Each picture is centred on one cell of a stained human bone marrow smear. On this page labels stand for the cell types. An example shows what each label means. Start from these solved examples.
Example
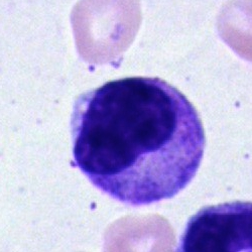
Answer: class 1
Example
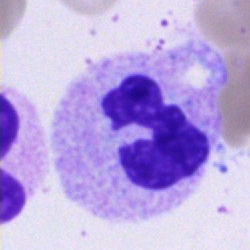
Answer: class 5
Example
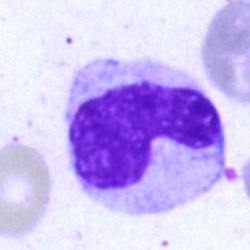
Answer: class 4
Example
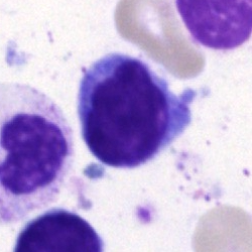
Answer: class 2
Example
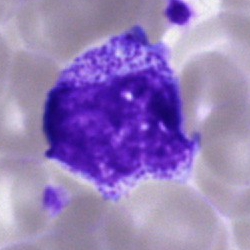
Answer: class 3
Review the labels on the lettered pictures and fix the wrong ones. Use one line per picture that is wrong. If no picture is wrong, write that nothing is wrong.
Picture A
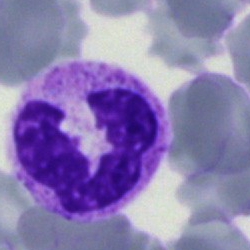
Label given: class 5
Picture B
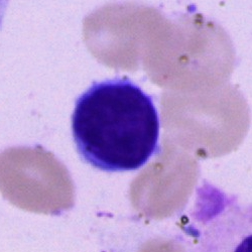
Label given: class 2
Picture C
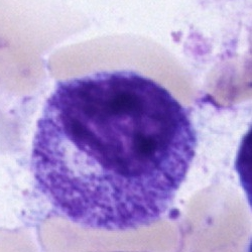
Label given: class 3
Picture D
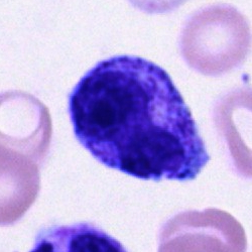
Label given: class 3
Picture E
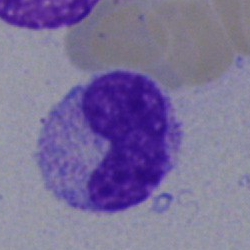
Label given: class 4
D: change class 3 to class 1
